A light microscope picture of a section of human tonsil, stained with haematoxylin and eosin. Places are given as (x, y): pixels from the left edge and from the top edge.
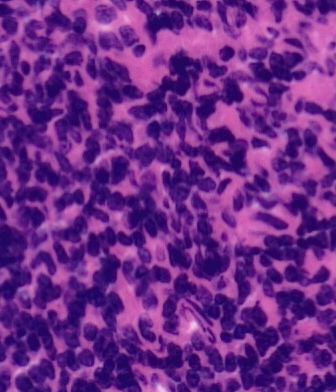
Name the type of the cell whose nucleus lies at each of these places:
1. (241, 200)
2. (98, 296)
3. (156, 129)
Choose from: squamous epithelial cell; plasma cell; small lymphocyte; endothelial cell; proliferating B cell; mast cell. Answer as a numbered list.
1. endothelial cell
2. small lymphocyte
3. small lymphocyte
